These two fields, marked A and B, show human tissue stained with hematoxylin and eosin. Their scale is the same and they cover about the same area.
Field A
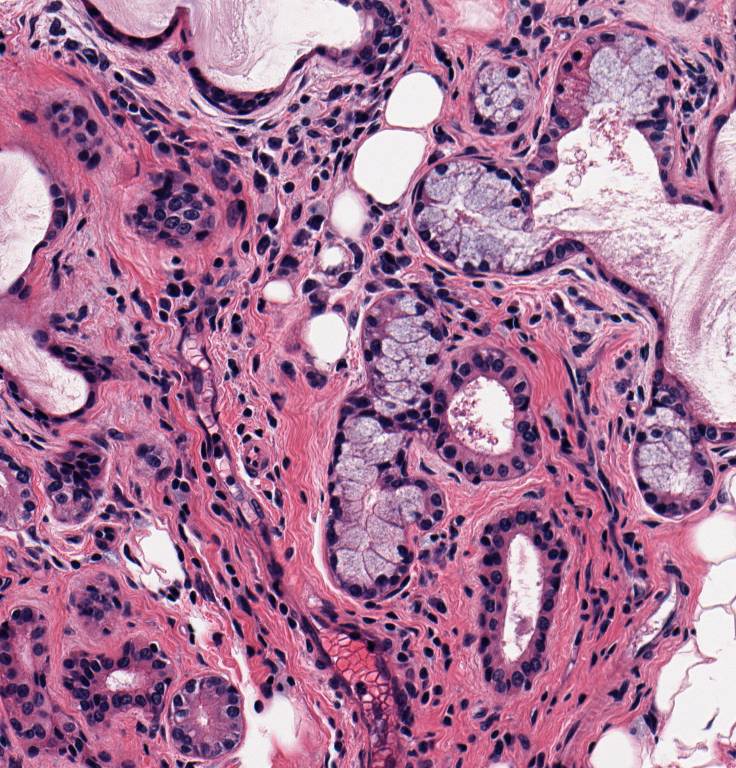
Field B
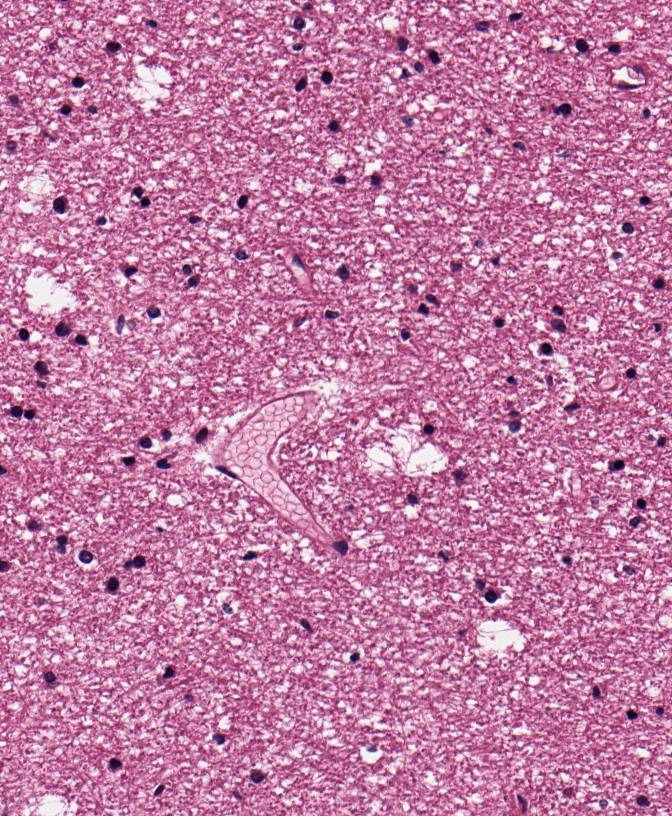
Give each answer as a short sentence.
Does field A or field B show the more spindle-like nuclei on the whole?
It is field A whose nuclei are the more elongated.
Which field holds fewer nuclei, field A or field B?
The smaller number of nuclei is in field B.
